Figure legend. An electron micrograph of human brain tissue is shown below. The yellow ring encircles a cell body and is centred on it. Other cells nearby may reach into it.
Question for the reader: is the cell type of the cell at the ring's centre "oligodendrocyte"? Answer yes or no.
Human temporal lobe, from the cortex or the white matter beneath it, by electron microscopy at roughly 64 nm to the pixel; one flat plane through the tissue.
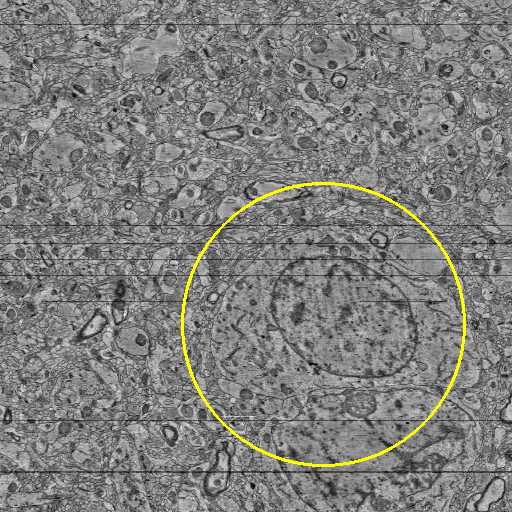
no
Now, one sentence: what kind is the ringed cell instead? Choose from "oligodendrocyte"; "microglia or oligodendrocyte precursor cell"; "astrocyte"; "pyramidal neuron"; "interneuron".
The cell marked by the ring is a pyramidal neuron.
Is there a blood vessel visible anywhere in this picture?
No.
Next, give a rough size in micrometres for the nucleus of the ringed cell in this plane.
About 10 micrometres by about 7 micrometres in this plane.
